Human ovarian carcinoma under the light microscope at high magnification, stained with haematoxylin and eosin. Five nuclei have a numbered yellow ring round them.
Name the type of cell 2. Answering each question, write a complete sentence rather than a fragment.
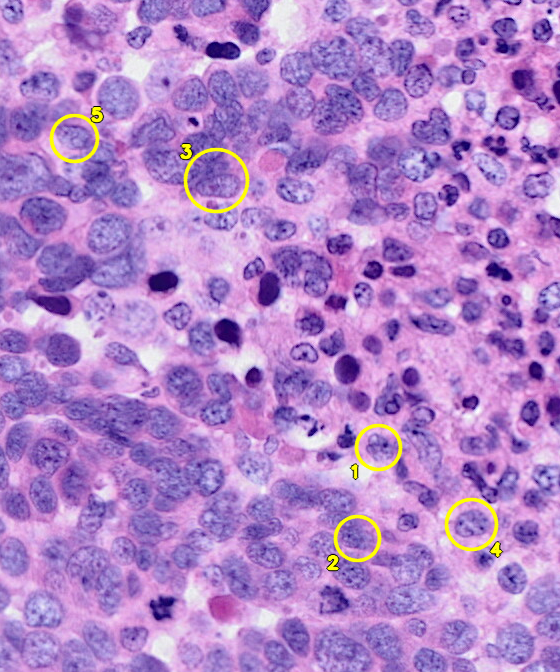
It is as a carcinoma cell that the cell numbered 2 is identified.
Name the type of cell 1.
The mark numbered 1 indicates the nucleus of a macrophage or monocyte.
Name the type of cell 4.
What the number 4 marks in this field is a macrophage or monocyte.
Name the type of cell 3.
The marked nucleus 3 is that of a carcinoma cell.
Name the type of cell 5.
In this section, number 5 marks a carcinoma cell.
